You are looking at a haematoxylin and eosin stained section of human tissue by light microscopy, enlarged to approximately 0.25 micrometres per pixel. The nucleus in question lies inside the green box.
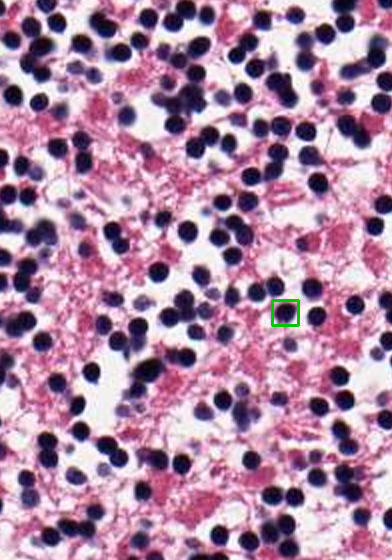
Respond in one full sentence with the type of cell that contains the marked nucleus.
The cell to which the marked nucleus belongs is a cerebellar granule cell.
